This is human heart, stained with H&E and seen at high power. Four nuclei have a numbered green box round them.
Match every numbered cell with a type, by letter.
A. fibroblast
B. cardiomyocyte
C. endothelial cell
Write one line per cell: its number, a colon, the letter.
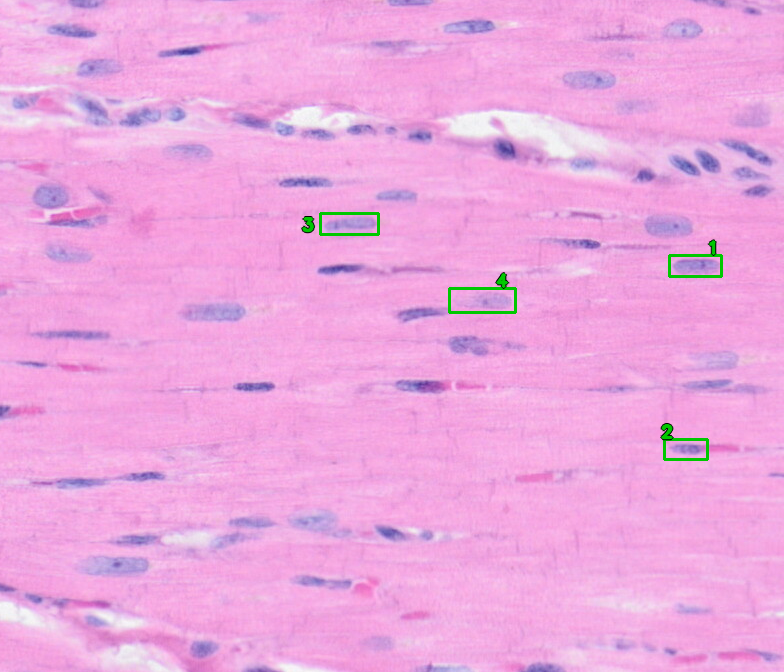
1: B
2: C
3: B
4: B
